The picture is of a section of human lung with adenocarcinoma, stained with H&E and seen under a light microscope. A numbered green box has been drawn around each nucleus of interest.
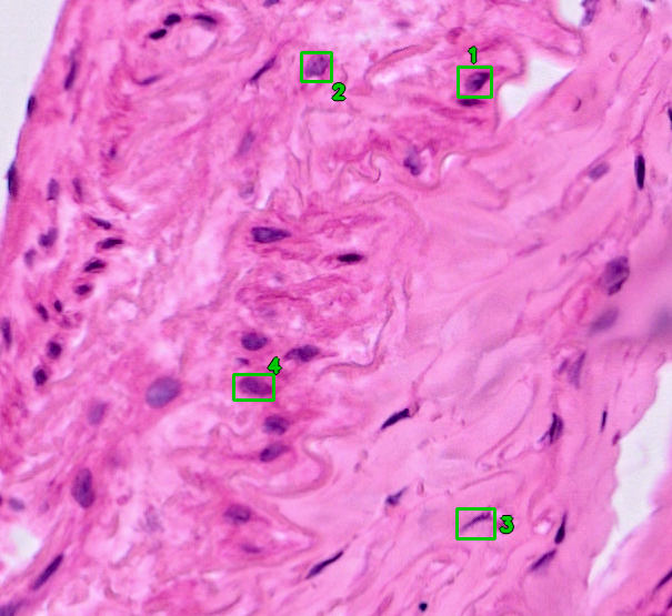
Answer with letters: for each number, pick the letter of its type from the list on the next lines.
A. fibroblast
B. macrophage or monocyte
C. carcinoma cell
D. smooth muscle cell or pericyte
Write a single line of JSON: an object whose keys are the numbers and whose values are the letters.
{"1": "D", "2": "D", "3": "A", "4": "D"}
